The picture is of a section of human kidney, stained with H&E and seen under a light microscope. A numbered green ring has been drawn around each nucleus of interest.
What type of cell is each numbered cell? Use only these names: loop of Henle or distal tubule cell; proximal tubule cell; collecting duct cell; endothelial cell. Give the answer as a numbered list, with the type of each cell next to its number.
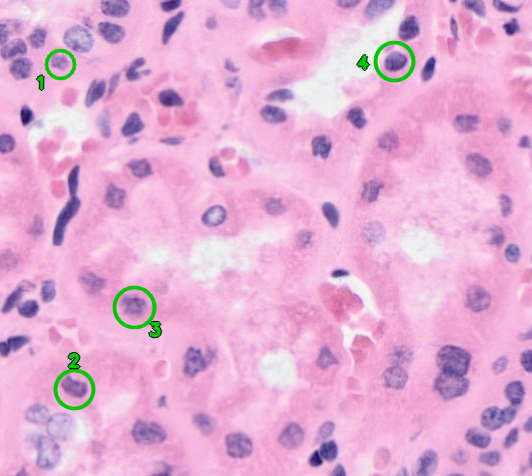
1. collecting duct cell
2. proximal tubule cell
3. proximal tubule cell
4. loop of Henle or distal tubule cell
